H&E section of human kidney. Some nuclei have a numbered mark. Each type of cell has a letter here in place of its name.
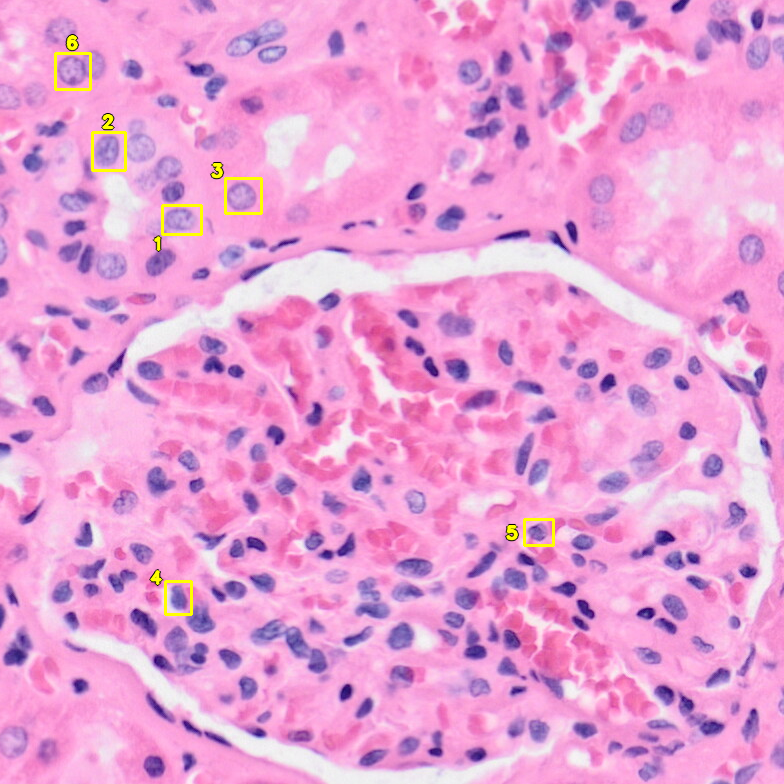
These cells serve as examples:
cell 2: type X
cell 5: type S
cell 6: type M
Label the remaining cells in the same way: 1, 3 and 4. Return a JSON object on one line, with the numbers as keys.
{"1": "type X", "3": "type M", "4": "type S"}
